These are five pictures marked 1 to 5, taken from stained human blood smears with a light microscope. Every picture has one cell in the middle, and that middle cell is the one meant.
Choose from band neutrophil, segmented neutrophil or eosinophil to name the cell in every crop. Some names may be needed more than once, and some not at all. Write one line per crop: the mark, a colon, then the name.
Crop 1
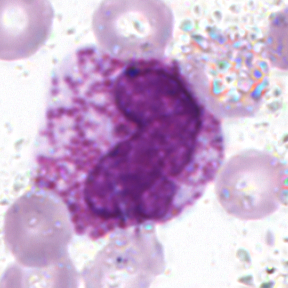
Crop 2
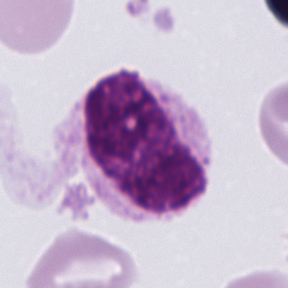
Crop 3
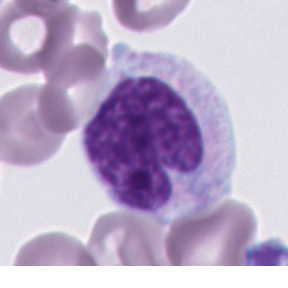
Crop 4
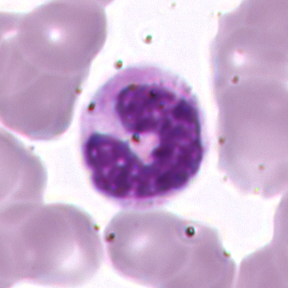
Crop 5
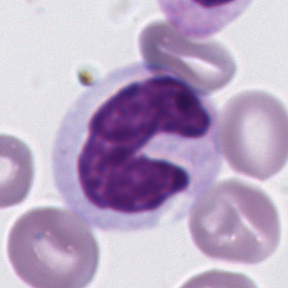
1: eosinophil
2: band neutrophil
3: band neutrophil
4: band neutrophil
5: band neutrophil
